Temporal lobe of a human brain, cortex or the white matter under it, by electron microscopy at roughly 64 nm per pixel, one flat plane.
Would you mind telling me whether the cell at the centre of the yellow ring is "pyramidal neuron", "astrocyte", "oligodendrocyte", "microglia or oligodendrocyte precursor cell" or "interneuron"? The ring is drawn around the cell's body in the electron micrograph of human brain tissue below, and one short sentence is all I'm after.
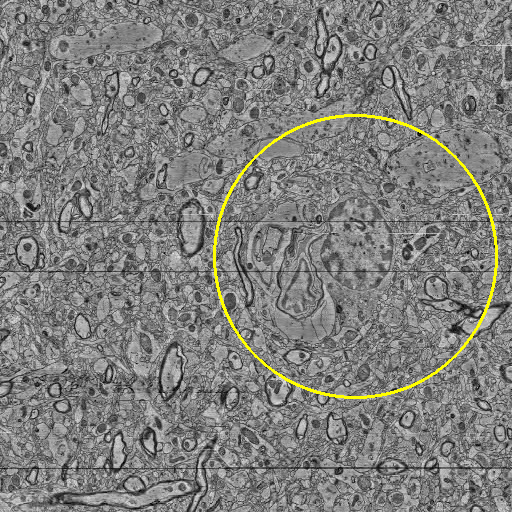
In the centre of the ring lies an oligodendrocyte.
